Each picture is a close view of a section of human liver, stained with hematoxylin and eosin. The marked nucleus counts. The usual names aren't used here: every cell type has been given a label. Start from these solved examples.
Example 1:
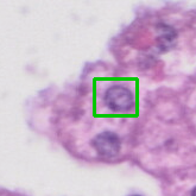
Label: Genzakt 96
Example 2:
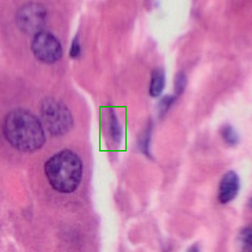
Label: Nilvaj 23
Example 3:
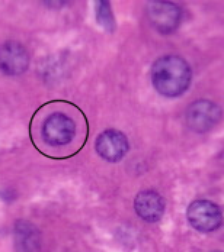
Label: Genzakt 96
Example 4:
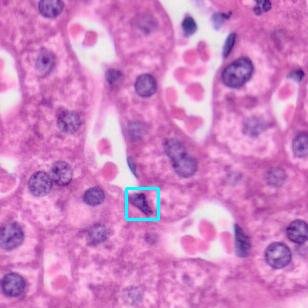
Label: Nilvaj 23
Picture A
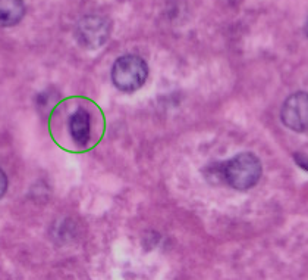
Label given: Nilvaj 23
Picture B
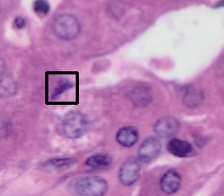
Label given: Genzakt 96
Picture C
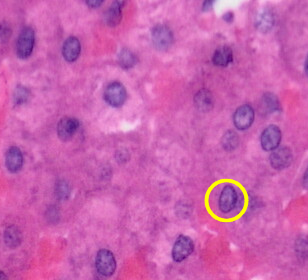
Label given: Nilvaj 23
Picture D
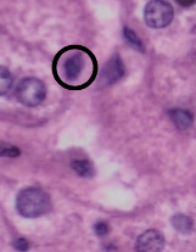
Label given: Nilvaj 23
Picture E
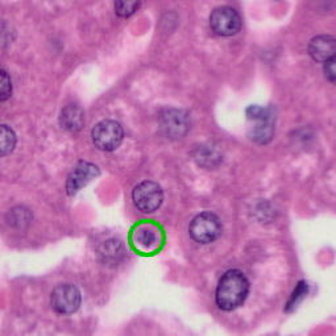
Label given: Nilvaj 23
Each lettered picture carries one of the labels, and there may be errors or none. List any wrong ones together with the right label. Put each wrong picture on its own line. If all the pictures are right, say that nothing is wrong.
B: Nilvaj 23, not Genzakt 96
C: Genzakt 96, not Nilvaj 23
